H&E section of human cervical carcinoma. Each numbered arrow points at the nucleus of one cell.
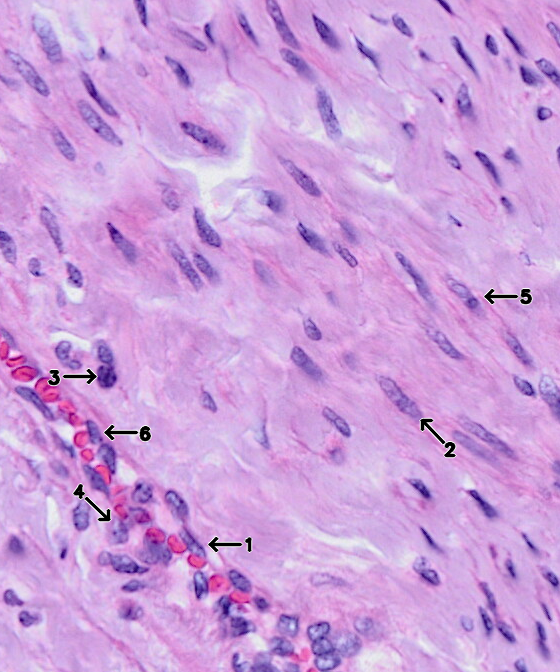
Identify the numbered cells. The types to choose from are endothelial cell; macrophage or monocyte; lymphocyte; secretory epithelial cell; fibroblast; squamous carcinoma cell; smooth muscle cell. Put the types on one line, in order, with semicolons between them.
endothelial cell; smooth muscle cell; lymphocyte; endothelial cell; smooth muscle cell; endothelial cell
